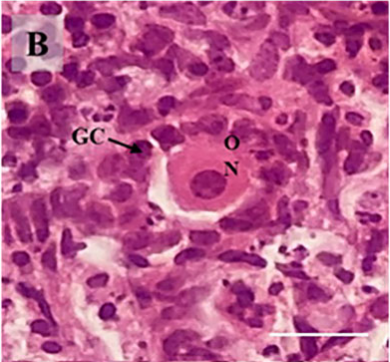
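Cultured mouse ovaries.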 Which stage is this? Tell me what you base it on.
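Primary follicle. A single oocyte with a central nucleus sits among stromal cells. The oocyte is surrounded by a thin pale rim and one layer of surrounding cells.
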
